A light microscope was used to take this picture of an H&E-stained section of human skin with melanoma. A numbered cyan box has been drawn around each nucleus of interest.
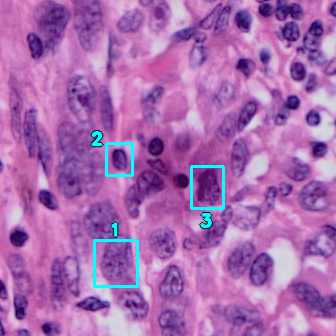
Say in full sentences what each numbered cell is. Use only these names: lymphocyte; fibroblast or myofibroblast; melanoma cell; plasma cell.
Cells 1 and 3 are melanoma cells. Cell 2 is a lymphocyte.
